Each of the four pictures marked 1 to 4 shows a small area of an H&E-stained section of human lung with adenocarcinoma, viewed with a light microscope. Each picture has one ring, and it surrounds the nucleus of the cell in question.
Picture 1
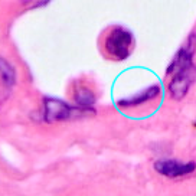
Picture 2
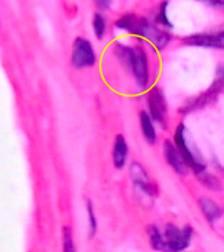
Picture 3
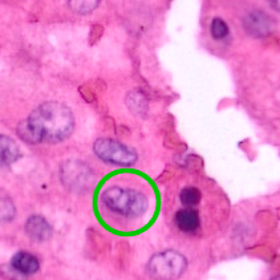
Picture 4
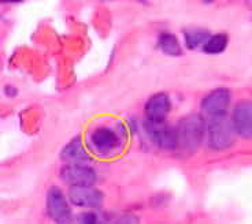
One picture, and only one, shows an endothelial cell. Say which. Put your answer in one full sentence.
Picture 1 shows the endothelial cell.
